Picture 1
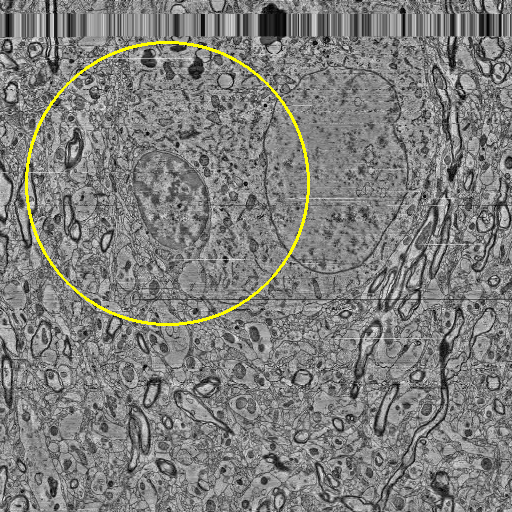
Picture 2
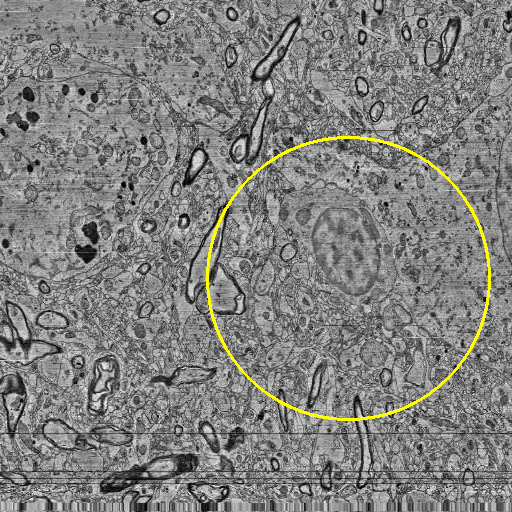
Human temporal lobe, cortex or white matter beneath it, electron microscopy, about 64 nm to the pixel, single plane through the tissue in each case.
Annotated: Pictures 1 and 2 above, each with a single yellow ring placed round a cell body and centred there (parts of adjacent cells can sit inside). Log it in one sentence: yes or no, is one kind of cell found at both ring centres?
Yes, the ring centres of the two pictures hold cells of one kind.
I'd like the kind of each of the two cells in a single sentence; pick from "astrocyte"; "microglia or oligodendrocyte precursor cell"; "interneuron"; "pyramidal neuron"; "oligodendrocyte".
Both rings mark an oligodendrocyte, one in each picture.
